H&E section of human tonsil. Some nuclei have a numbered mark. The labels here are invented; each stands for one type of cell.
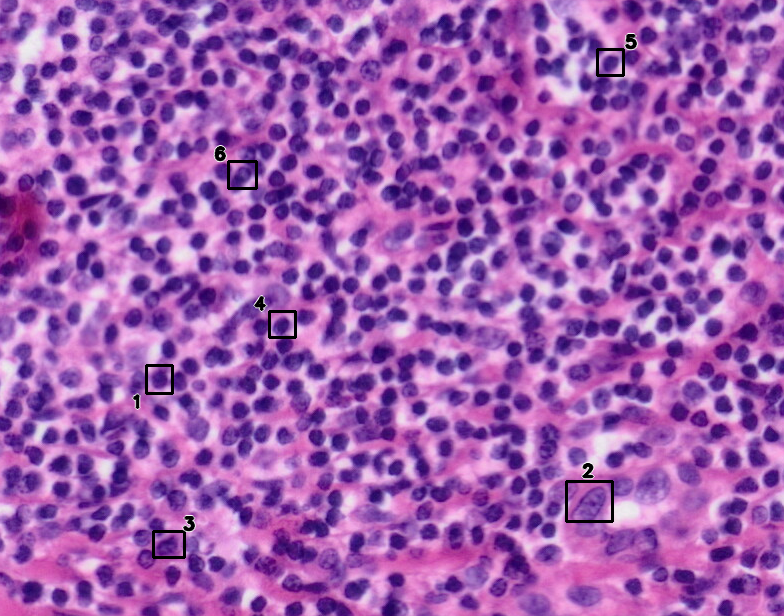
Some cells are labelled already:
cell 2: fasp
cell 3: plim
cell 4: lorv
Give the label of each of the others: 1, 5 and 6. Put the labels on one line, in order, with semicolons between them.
lorv; lorv; lorv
